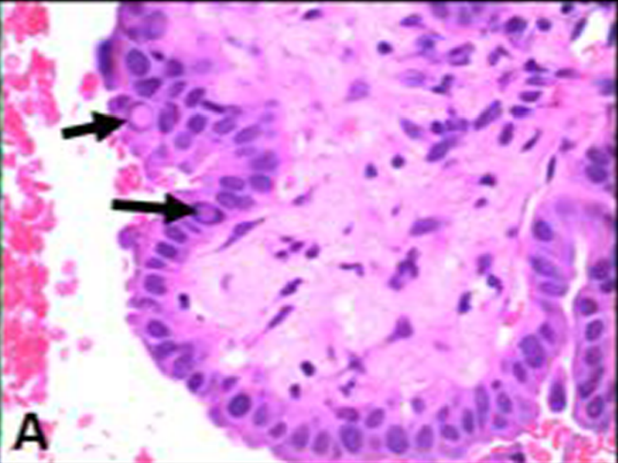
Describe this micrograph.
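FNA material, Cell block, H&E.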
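A papillary fragment of epithelium is seen, with a core of loose pale pink stroma holding scattered spindle-shaped cells. The core is covered by crowded epithelial cells with oval, overlapping purple nuclei. In some nuclei a round, sharply bounded pale pink body sits inside a rim of chromatin, the look of intranuclear pseudoinclusions. Red blood cells lie free beside the fragment; these are tumour cells of papillary thyroid carcinoma.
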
